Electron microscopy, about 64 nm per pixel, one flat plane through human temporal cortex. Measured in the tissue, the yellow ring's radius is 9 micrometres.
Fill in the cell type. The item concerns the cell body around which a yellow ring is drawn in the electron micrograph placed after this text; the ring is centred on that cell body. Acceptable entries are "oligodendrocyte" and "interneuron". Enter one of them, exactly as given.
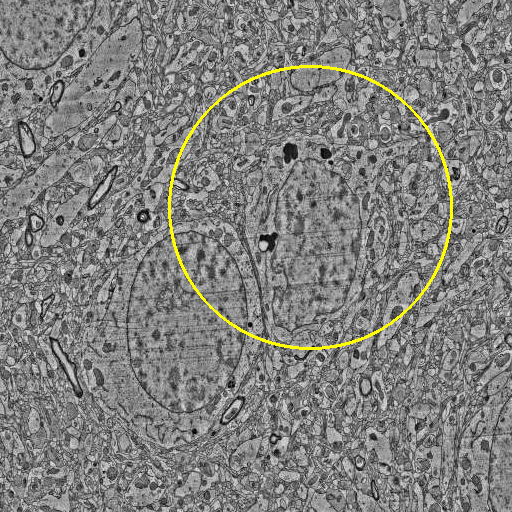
interneuron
